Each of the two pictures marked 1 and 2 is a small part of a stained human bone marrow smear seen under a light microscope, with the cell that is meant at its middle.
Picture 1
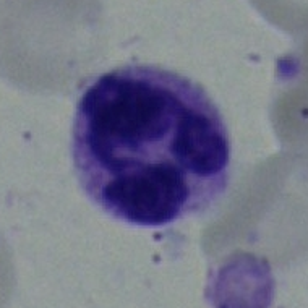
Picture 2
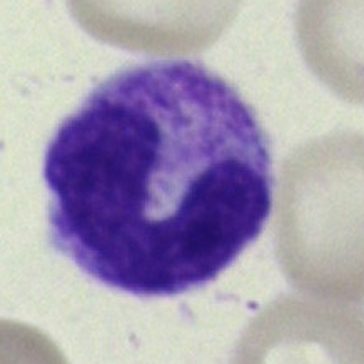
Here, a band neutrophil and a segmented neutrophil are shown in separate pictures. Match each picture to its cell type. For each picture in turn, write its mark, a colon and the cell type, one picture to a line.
1: segmented neutrophil
2: band neutrophil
